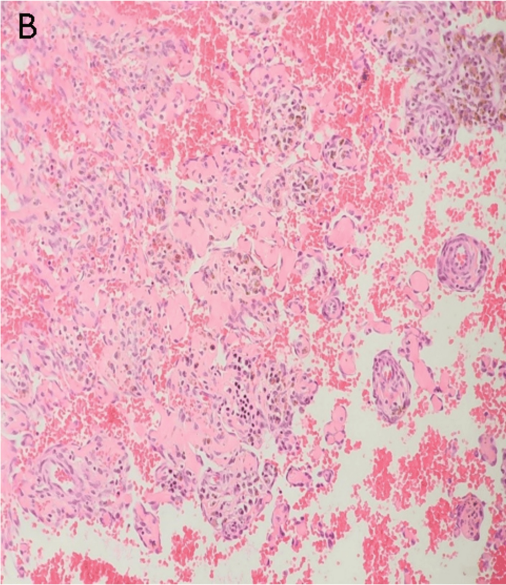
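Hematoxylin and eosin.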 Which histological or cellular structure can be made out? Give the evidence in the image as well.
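Many small rounded projections have pale pink glassy cores. The projections lie among abundant free red blood cells. The answer: papillary structures with hyalinized cores.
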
